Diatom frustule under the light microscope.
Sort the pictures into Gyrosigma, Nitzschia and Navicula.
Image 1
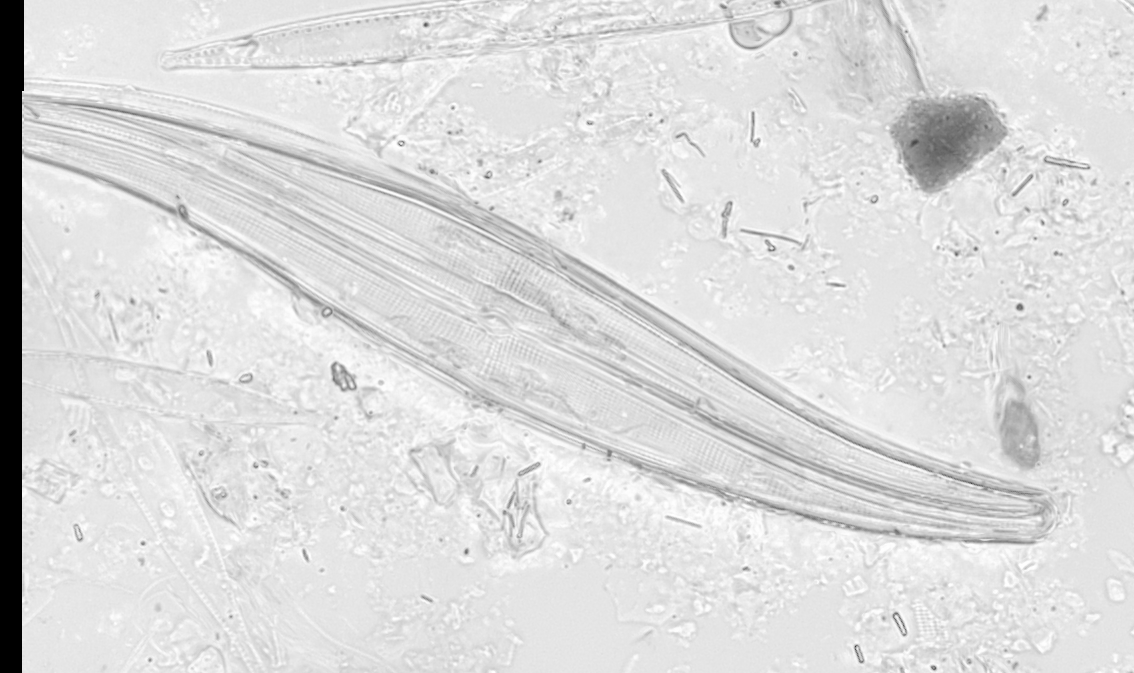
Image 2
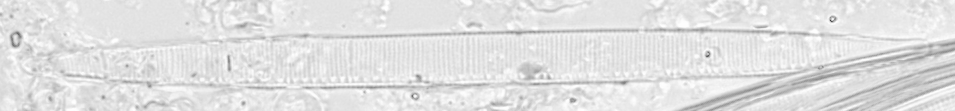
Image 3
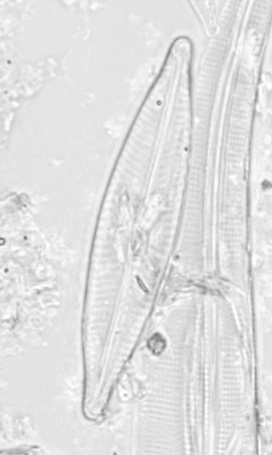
Gyrosigma: 1
Nitzschia: 2
Navicula: 3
